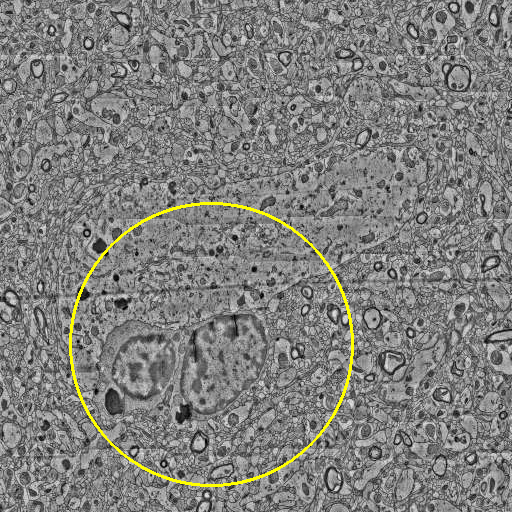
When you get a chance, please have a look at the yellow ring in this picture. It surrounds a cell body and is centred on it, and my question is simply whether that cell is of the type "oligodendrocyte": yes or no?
Yes, the cell is of that type.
